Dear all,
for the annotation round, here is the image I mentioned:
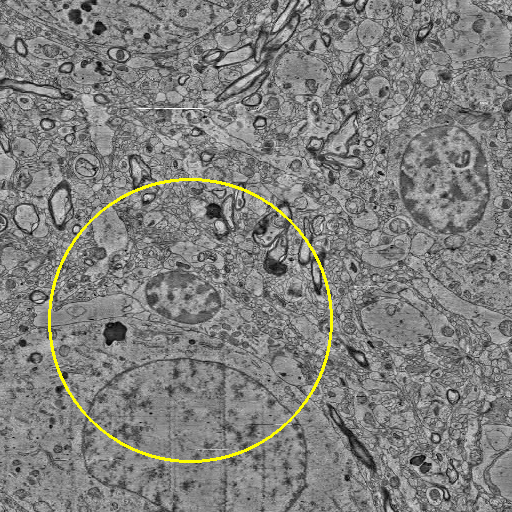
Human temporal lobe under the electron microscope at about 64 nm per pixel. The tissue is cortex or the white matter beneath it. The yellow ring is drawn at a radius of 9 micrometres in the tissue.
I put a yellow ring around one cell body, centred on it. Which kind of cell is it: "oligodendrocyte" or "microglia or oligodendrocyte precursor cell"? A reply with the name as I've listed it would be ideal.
microglia or oligodendrocyte precursor cell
